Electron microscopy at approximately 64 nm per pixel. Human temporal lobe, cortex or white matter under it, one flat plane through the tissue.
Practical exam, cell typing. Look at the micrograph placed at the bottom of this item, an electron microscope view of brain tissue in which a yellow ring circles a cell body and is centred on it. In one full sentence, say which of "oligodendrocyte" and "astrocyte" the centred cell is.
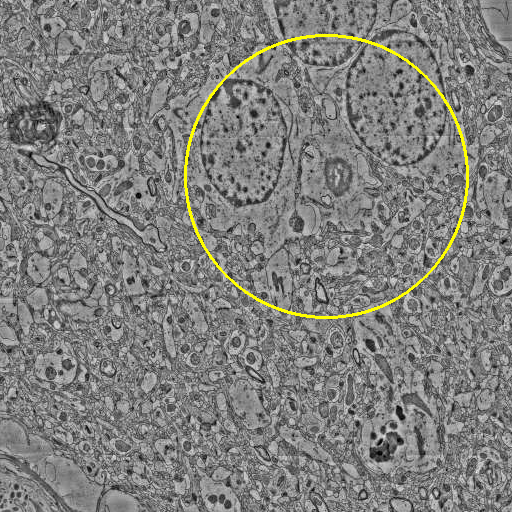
Given the options, an astrocyte fits the cell whose body the yellow ring is centred on.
